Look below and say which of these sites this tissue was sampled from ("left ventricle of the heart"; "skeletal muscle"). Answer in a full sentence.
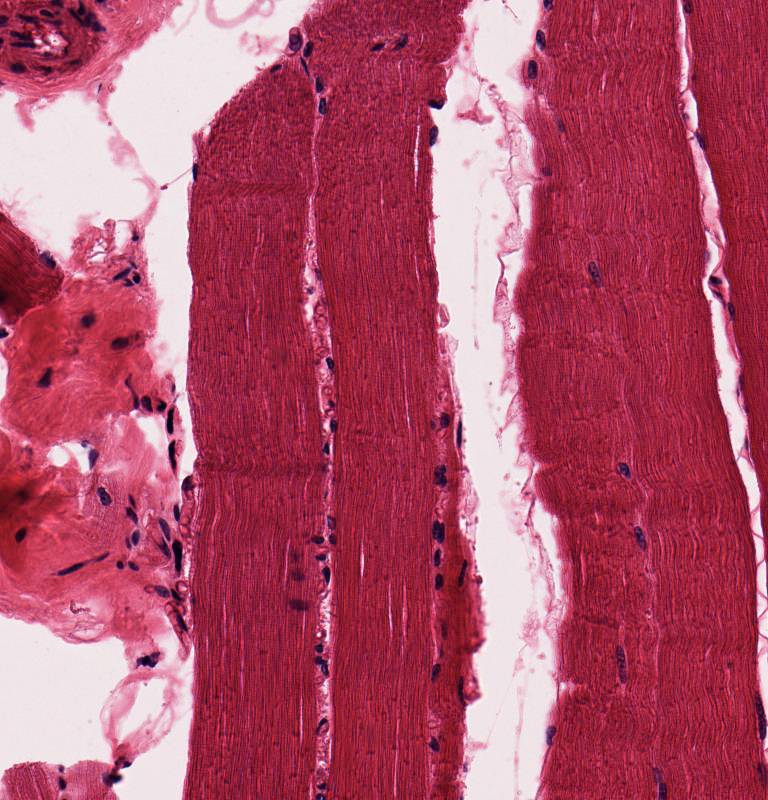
The site this tissue was sampled from is the skeletal muscle.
